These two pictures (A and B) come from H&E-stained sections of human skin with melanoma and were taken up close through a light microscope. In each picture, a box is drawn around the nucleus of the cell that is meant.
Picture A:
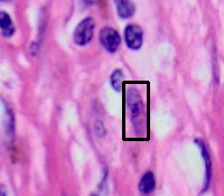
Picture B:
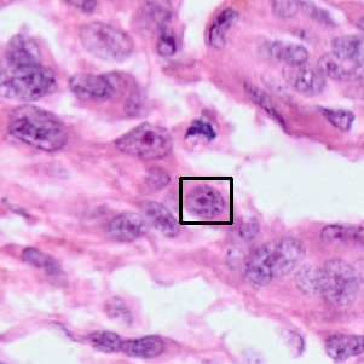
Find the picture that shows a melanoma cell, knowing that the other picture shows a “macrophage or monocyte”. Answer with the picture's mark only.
B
